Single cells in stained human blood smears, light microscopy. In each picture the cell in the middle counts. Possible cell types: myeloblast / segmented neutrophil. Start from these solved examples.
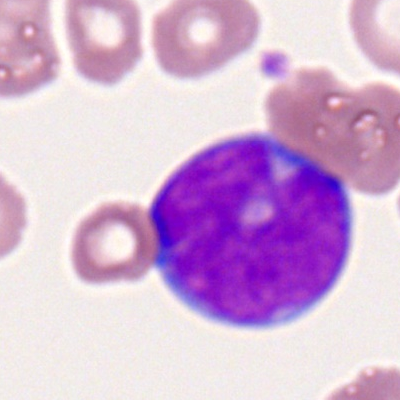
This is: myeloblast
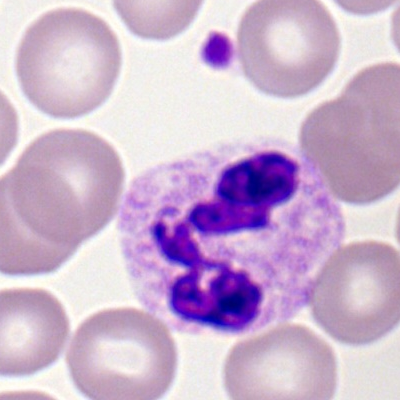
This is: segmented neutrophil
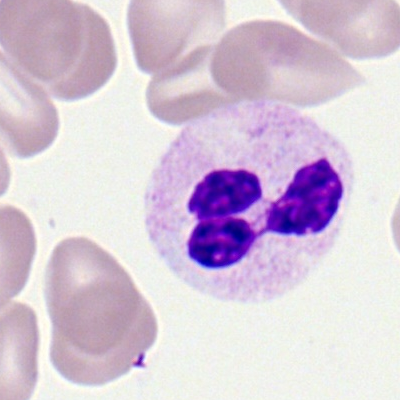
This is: segmented neutrophil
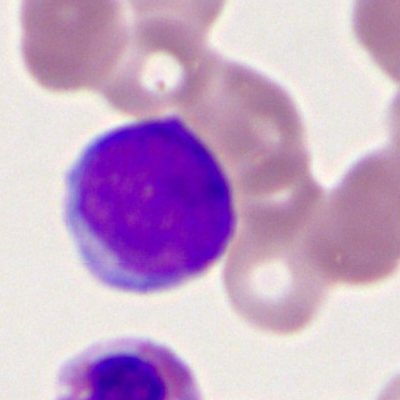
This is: myeloblast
